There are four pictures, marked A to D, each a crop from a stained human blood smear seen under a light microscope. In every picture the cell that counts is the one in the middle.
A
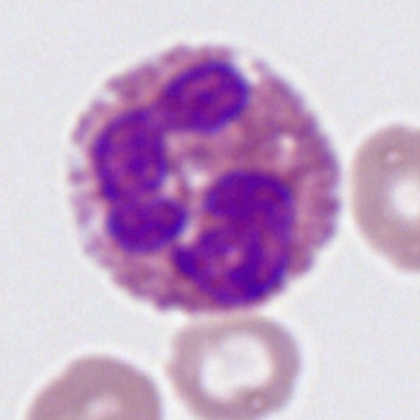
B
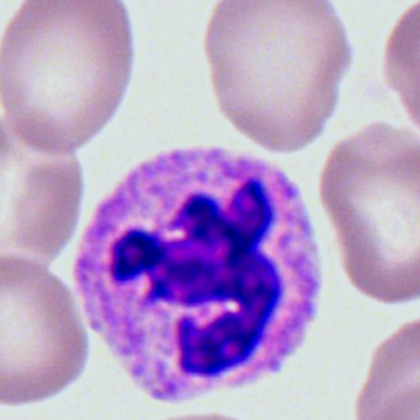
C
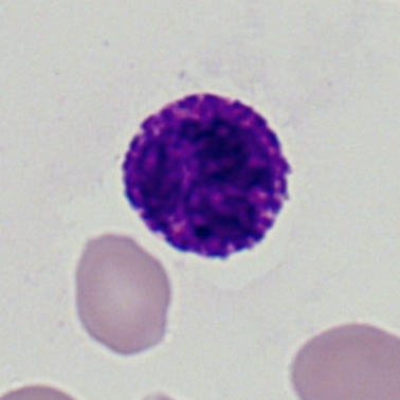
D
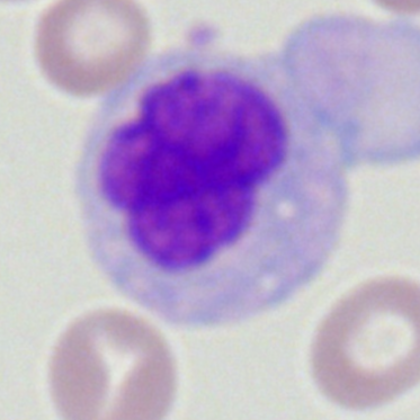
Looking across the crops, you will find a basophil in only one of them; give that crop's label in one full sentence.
The one that shows a basophil is crop C.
